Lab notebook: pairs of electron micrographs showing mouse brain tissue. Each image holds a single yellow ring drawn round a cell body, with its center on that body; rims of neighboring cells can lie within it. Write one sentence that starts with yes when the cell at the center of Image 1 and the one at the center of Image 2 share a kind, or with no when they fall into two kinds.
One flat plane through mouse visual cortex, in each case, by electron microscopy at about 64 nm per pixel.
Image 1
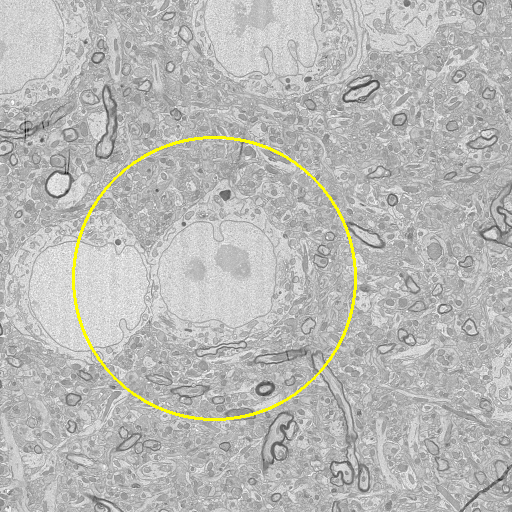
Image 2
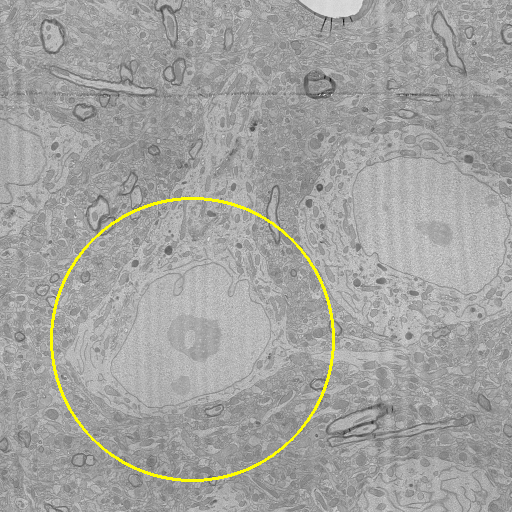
Yes, the centered cell in Image 1 and the centered cell in Image 2 are of one kind.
